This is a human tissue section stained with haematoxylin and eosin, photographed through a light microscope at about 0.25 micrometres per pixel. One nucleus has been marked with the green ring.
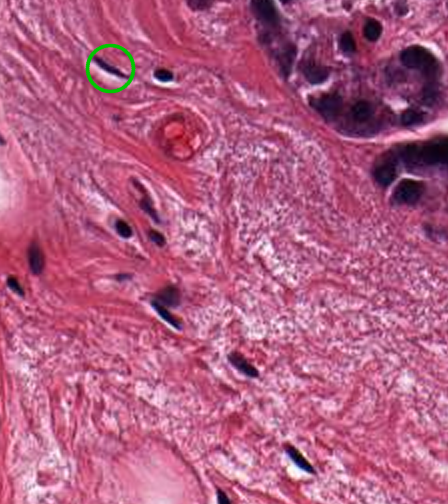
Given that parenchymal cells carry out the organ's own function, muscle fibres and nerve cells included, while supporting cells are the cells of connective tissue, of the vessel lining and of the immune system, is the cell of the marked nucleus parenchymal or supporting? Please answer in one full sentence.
It is to a supporting cell that the marked nucleus is assigned.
